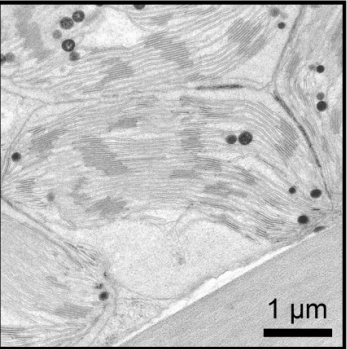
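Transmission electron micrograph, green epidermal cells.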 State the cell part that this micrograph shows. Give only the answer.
Chloroplasts.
